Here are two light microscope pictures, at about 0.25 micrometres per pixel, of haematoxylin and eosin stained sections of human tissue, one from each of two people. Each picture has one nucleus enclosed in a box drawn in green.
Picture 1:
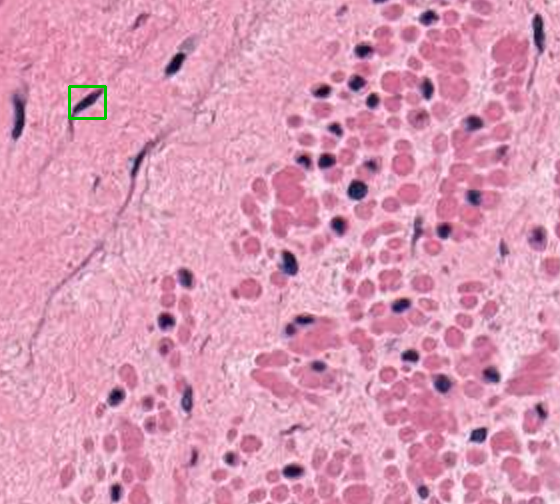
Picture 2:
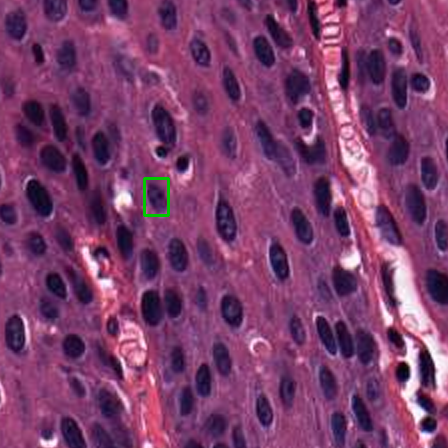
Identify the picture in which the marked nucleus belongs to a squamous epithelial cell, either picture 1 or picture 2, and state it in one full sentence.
In picture 2, the marked nucleus is one belonging to a squamous epithelial cell.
